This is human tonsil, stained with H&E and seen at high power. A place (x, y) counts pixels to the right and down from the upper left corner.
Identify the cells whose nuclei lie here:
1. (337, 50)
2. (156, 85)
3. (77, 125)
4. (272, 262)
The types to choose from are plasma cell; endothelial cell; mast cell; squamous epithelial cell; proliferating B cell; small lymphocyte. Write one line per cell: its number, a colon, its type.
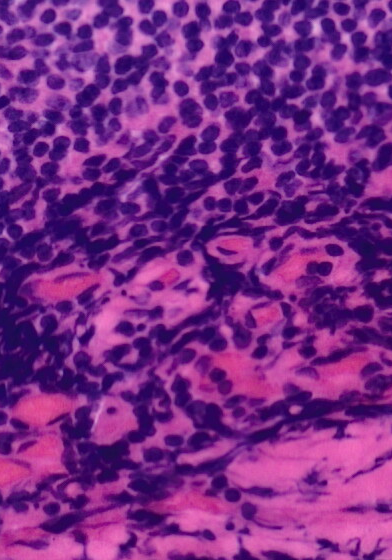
1: small lymphocyte
2: small lymphocyte
3: small lymphocyte
4: endothelial cell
